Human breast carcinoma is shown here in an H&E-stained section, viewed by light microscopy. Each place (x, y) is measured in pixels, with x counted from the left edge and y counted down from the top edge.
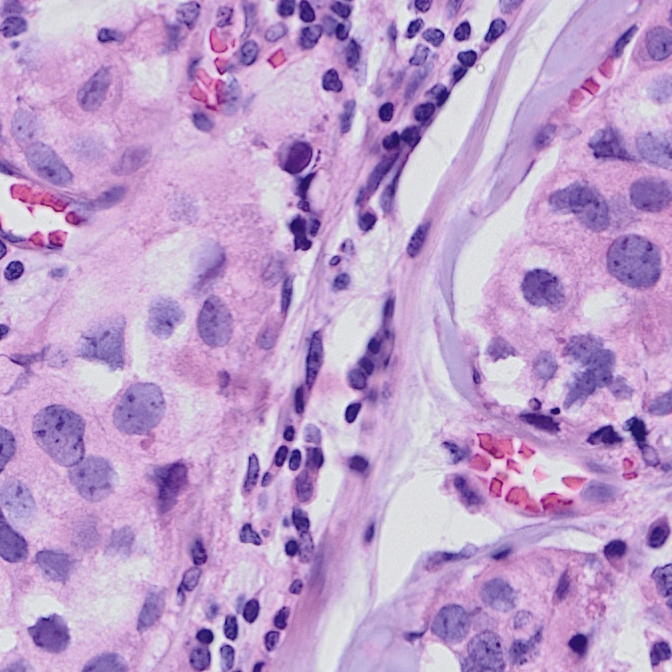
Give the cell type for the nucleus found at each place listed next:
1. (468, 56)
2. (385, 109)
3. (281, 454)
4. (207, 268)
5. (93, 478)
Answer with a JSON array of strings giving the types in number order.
["lymphocyte", "lymphocyte", "lymphocyte", "carcinoma cell", "carcinoma cell"]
